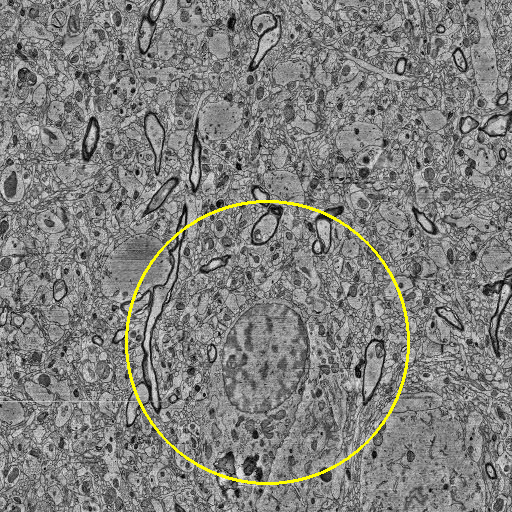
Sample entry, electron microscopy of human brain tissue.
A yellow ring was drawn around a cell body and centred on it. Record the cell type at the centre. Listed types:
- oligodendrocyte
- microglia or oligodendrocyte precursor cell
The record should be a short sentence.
The cell at the ring's centre is an oligodendrocyte.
